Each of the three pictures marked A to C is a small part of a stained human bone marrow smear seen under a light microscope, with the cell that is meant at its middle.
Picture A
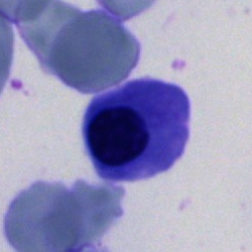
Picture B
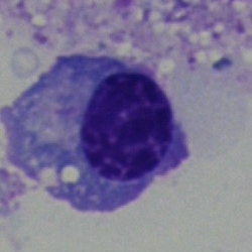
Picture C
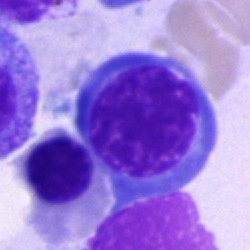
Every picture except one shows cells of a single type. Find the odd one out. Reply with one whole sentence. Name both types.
The others show erythroblasts, but picture B shows a plasma cell.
